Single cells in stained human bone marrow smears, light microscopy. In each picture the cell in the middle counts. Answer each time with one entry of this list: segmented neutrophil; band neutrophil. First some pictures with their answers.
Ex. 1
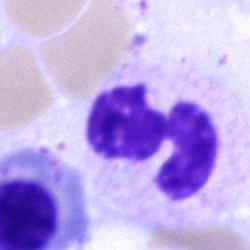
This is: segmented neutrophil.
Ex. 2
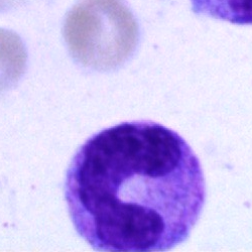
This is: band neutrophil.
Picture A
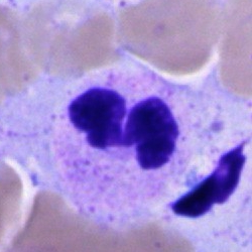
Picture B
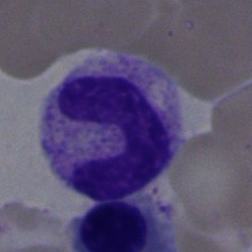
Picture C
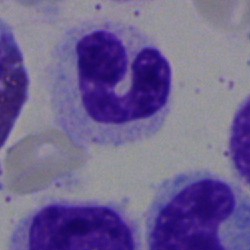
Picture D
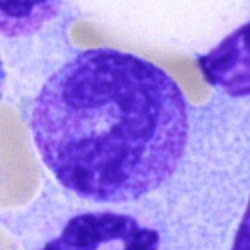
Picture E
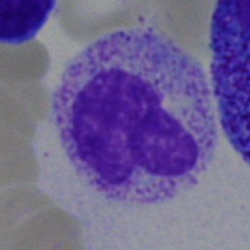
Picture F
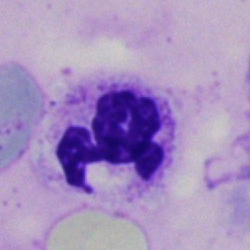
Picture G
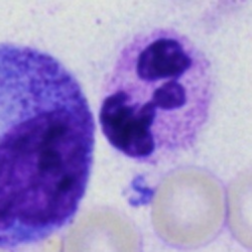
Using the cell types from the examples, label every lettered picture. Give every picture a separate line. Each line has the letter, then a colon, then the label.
A: segmented neutrophil.
B: band neutrophil.
C: segmented neutrophil.
D: band neutrophil.
E: band neutrophil.
F: segmented neutrophil.
G: segmented neutrophil.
